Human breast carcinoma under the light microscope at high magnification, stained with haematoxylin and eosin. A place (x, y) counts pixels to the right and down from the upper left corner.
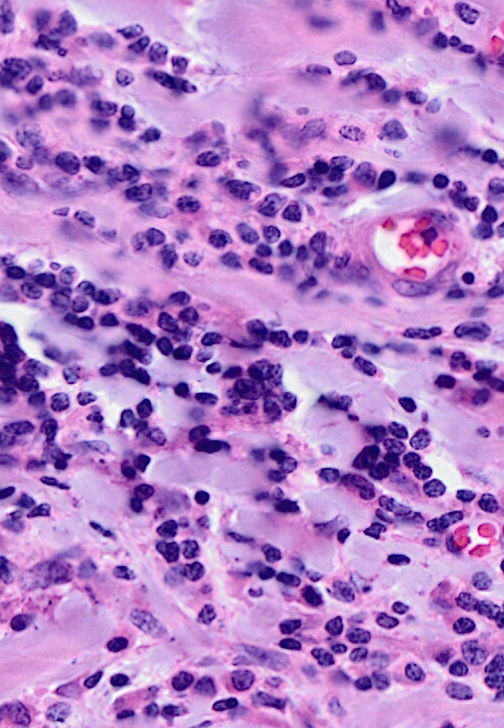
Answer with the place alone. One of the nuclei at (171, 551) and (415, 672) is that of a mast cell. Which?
(415, 672)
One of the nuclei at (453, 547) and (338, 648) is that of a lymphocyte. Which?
(338, 648)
